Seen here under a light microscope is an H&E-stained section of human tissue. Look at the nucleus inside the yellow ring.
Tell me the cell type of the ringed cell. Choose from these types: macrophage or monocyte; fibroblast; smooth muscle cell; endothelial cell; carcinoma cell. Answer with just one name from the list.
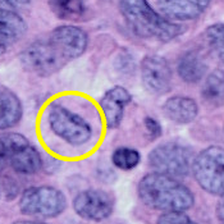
macrophage or monocyte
